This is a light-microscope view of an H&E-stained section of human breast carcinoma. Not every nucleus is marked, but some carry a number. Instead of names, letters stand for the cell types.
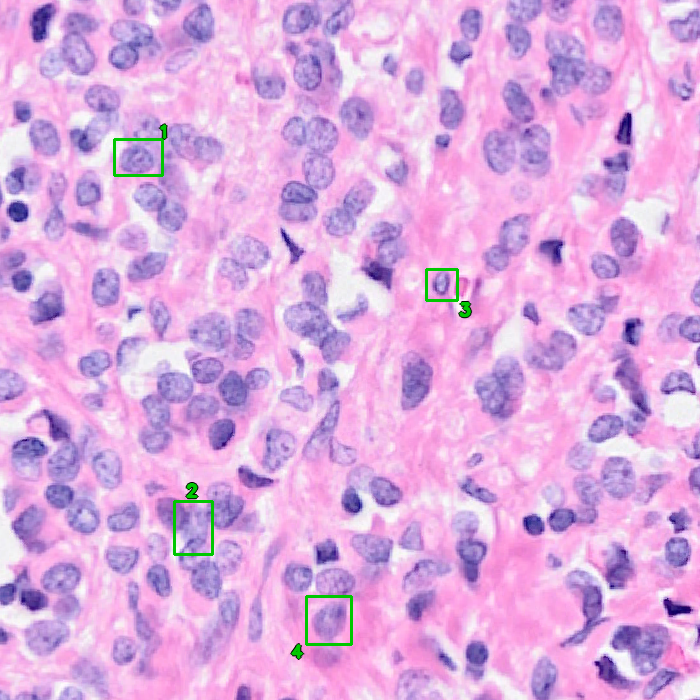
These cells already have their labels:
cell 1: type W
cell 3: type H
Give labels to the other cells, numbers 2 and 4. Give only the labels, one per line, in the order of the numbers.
type W
type W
